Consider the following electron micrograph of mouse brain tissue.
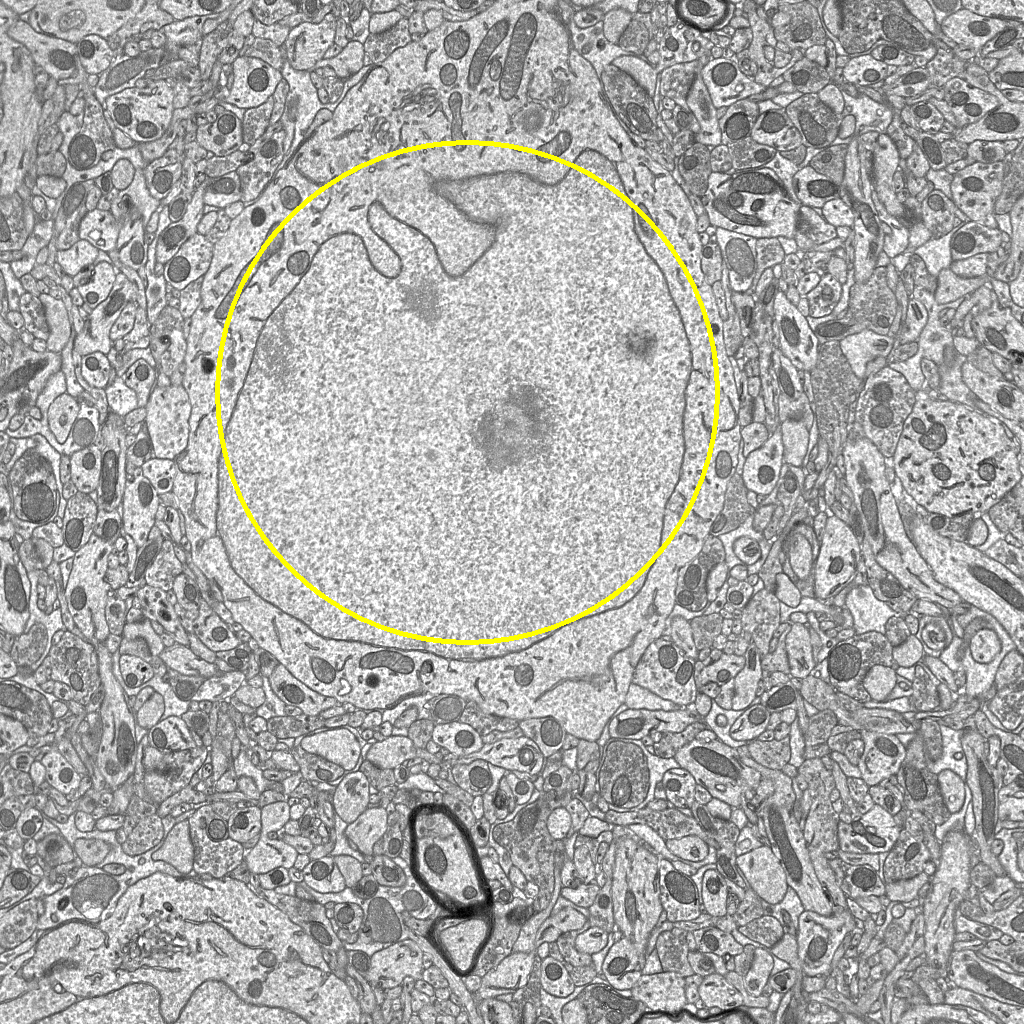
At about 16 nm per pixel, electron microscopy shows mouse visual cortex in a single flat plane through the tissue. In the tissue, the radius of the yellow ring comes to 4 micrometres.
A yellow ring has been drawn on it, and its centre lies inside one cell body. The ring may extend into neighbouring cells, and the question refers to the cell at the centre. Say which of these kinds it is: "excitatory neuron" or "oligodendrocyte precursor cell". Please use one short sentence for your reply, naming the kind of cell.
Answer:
The centre of the ring falls on an excitatory neuron.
